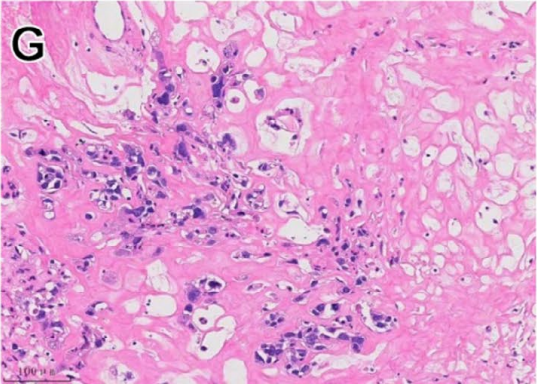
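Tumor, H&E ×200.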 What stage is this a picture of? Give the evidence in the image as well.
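Cells with large, dark, irregular nuclei. Nuclei vary in size and shape. Cells lie haphazardly without orderly arrangement. On this evidence: enlarged, hyperchromatic, and atypical cells.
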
